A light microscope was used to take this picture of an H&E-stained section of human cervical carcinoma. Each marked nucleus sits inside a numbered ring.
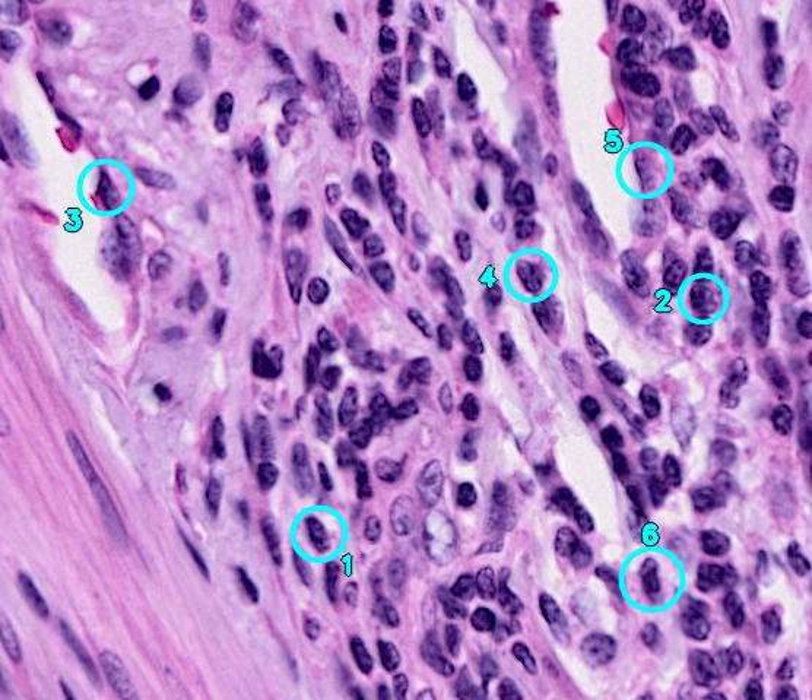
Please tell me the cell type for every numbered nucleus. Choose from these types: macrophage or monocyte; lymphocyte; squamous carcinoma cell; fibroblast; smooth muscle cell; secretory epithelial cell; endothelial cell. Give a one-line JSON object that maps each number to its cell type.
{"1": "lymphocyte", "2": "lymphocyte", "3": "endothelial cell", "4": "lymphocyte", "5": "endothelial cell", "6": "lymphocyte"}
